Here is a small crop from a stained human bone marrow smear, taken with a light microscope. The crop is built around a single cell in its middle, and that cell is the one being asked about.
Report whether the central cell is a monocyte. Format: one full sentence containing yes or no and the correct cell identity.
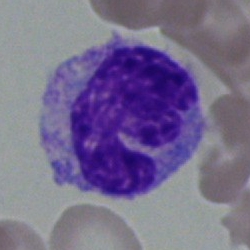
Yes, the cell in the central position is a monocyte.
